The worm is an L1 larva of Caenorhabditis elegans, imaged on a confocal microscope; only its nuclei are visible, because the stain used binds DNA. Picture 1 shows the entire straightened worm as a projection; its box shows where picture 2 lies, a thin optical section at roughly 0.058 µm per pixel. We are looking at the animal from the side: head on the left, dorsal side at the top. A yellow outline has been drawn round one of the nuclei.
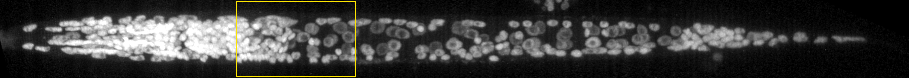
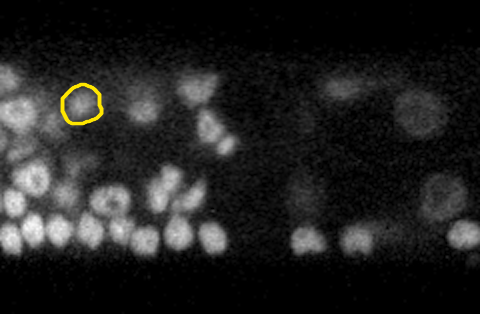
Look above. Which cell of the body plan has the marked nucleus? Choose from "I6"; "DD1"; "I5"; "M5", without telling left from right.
I6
